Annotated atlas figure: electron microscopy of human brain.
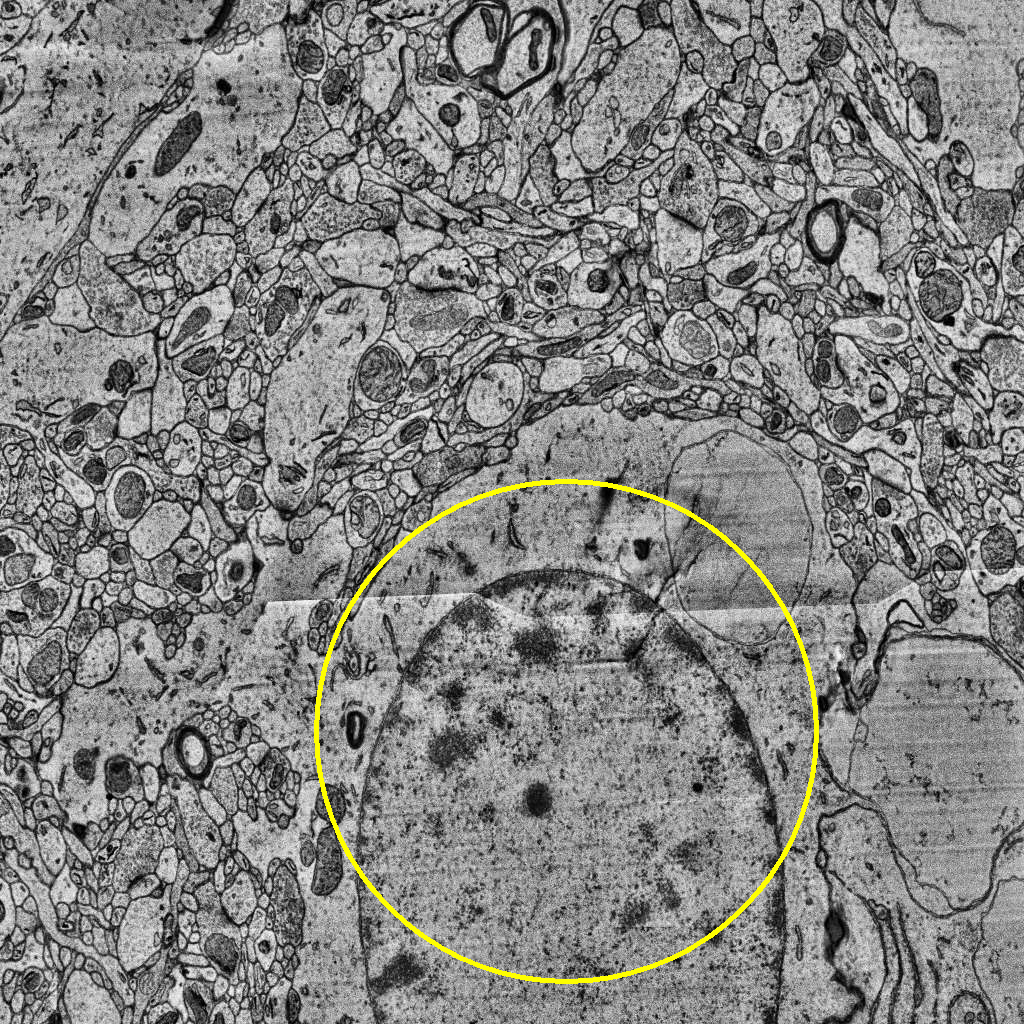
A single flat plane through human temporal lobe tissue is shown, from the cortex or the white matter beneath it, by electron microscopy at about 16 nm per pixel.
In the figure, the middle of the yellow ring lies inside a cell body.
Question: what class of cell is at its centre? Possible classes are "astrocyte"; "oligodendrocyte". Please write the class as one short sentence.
The yellow ring's centre lies in an astrocyte.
